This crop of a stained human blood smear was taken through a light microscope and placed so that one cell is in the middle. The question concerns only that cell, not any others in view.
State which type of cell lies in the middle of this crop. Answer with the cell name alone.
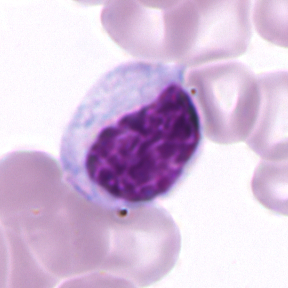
metamyelocyte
